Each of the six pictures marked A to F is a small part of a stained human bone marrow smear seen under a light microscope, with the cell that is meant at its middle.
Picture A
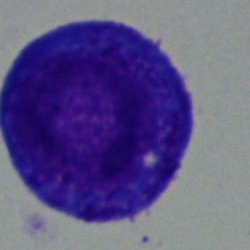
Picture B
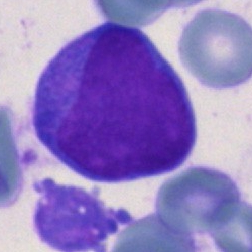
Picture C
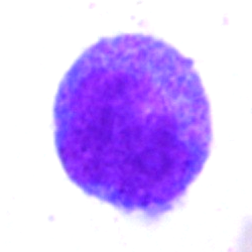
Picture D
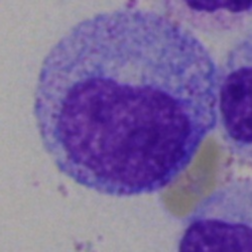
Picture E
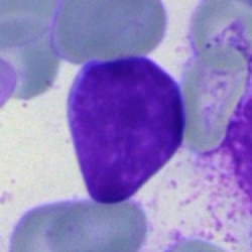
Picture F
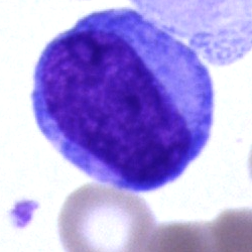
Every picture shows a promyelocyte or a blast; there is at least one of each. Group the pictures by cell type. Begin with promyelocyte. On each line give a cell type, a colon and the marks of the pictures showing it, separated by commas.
promyelocyte: A, C, D
blast: B, E, F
